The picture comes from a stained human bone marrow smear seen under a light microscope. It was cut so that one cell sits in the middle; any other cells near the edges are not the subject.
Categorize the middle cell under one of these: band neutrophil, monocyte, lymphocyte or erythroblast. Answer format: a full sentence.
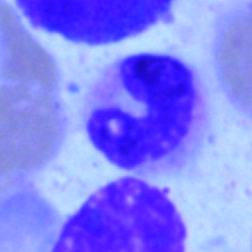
Among the cells in view, the one in the middle is a band neutrophil.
